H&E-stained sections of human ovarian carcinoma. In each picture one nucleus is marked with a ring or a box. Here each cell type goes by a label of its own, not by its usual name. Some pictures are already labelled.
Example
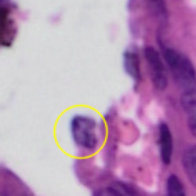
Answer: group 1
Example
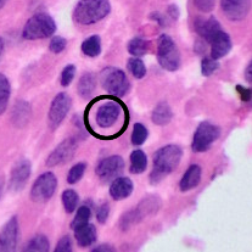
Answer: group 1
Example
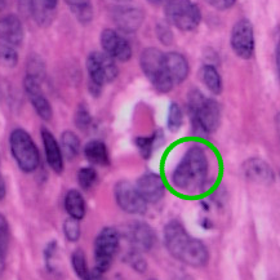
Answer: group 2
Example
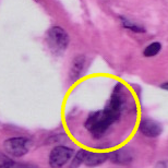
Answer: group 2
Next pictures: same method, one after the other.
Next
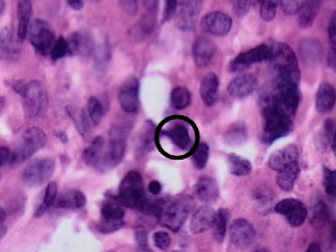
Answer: group 2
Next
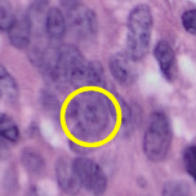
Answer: group 2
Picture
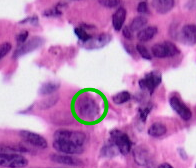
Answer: group 2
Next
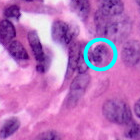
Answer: group 1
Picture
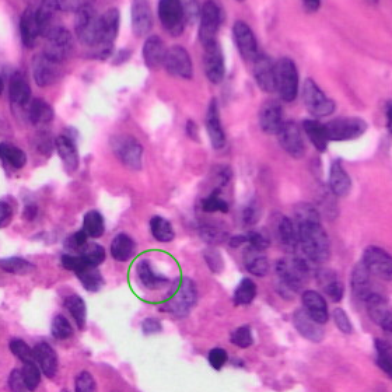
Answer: group 1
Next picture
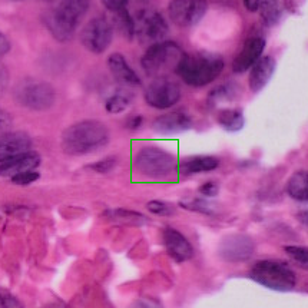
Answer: group 2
